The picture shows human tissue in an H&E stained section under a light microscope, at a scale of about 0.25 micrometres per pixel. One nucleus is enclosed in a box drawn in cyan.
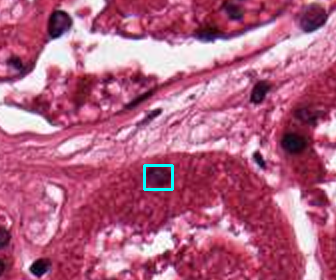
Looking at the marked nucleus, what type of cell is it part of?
proximal tubule cell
